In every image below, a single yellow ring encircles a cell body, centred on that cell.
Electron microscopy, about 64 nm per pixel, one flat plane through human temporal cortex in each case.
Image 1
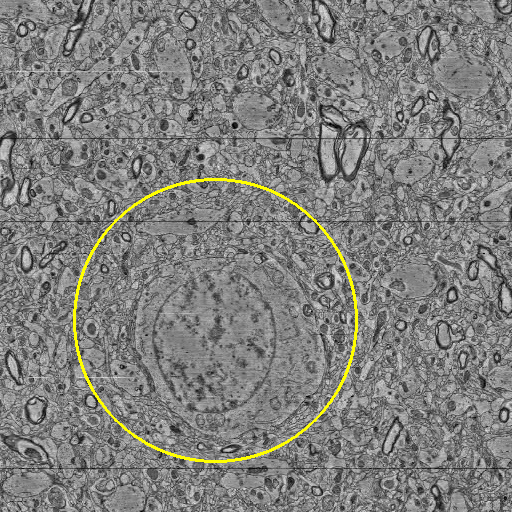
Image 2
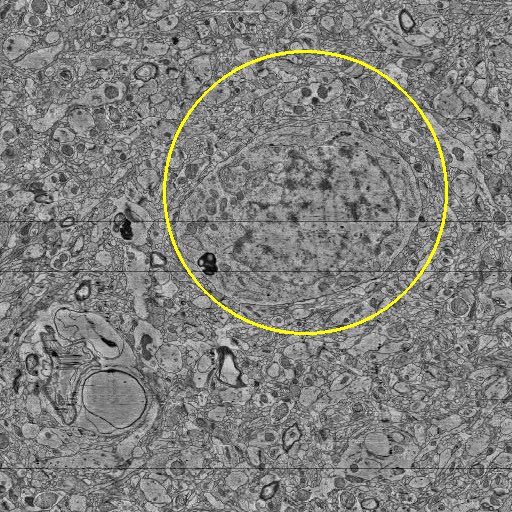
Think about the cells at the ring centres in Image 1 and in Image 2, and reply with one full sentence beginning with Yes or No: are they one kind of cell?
Yes, the cells centred in the rings of Image 1 and Image 2 are one kind of cell.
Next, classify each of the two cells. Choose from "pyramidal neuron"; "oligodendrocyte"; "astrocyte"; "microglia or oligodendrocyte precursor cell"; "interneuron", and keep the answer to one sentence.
Each of the two rings surrounds an interneuron.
